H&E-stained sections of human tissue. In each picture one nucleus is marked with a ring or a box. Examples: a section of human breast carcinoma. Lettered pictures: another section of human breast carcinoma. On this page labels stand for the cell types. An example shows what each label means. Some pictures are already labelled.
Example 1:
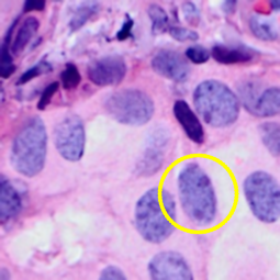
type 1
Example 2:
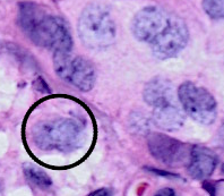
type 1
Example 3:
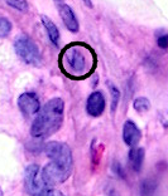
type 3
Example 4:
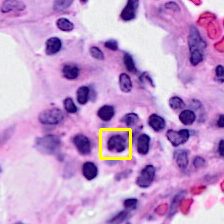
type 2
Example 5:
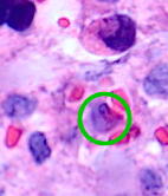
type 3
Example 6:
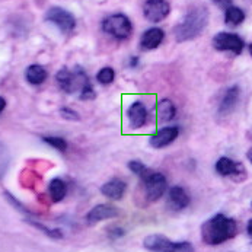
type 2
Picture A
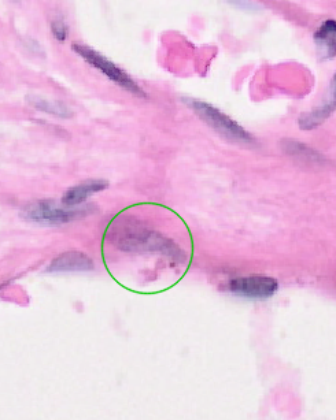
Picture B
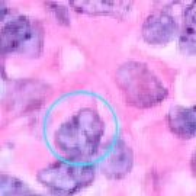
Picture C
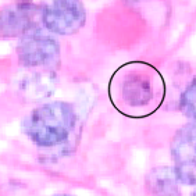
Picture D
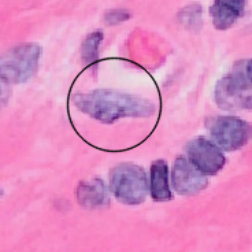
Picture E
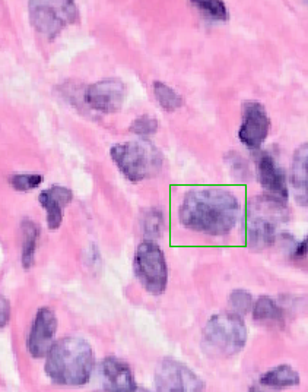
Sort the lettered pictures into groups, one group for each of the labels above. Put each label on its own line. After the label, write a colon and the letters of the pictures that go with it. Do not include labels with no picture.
type 1: B, C, E
type 3: A, D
